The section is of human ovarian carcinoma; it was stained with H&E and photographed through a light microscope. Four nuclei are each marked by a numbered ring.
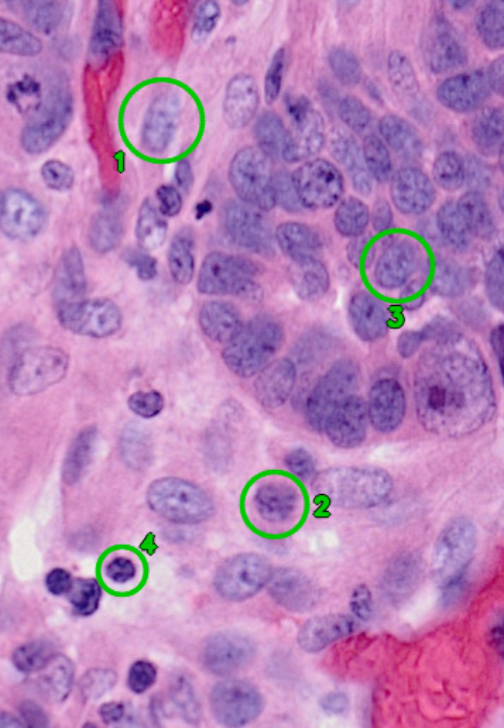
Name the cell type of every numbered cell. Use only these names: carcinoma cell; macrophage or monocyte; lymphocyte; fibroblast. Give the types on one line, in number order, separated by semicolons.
fibroblast; macrophage or monocyte; carcinoma cell; lymphocyte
